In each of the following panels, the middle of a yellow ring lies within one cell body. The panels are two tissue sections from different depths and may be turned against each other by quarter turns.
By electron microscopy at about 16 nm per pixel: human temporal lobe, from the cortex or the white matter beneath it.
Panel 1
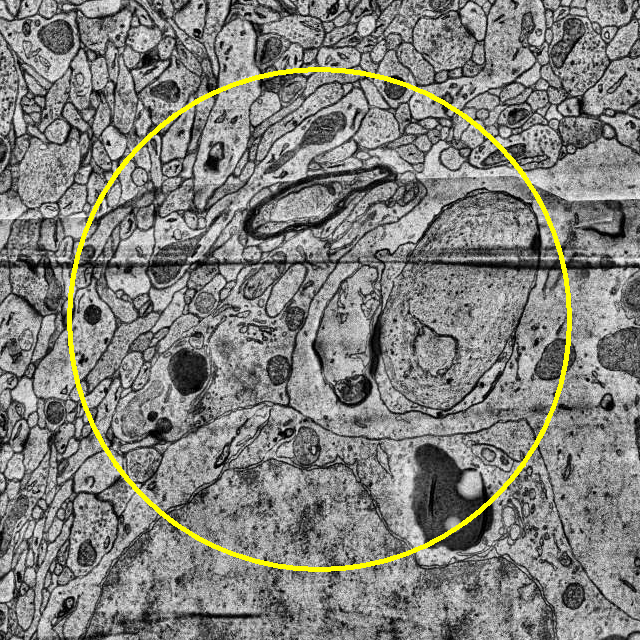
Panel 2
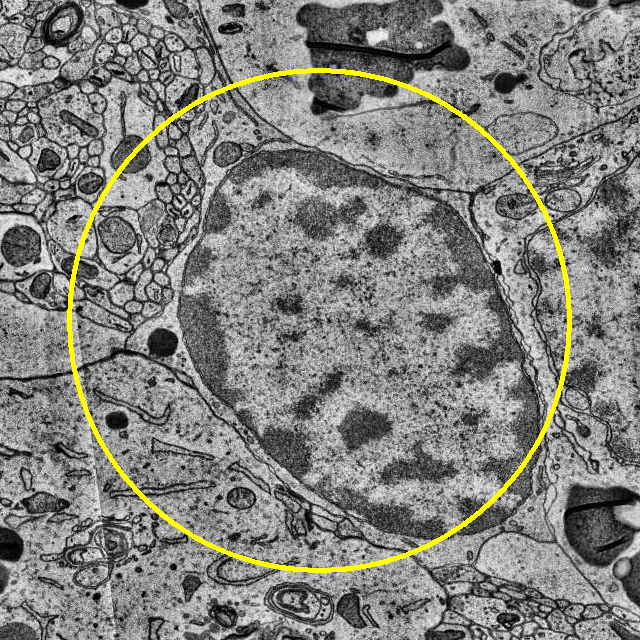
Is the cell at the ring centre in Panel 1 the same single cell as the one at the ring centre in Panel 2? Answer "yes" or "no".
yes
